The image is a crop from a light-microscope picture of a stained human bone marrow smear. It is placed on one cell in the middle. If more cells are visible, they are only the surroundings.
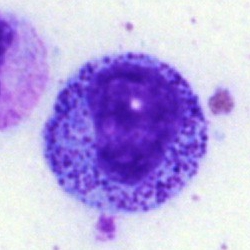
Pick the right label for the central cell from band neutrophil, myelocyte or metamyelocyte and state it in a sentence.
At the middle of the frame sits a myelocyte.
